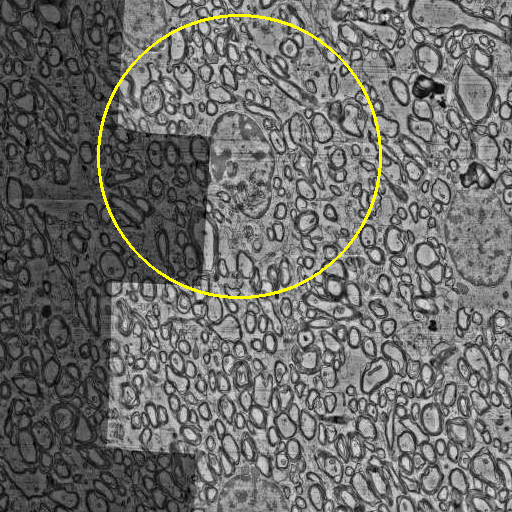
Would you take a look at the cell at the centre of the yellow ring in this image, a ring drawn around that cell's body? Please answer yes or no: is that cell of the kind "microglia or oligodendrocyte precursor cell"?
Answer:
yes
